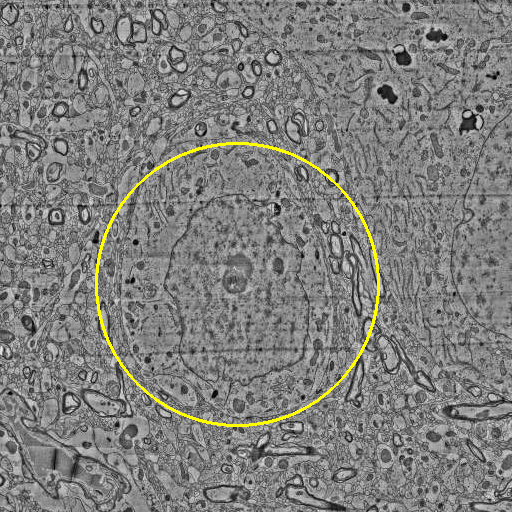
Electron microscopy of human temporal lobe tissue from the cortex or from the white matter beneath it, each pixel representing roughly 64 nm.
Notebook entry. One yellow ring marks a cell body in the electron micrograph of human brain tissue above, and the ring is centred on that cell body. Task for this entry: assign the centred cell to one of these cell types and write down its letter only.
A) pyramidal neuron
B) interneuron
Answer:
B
